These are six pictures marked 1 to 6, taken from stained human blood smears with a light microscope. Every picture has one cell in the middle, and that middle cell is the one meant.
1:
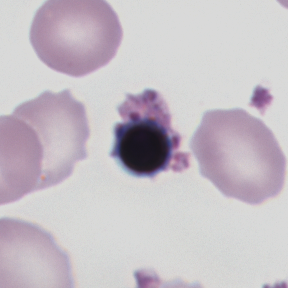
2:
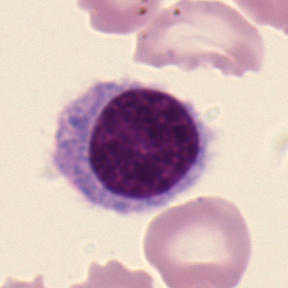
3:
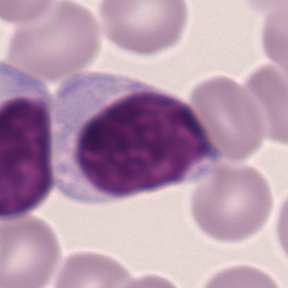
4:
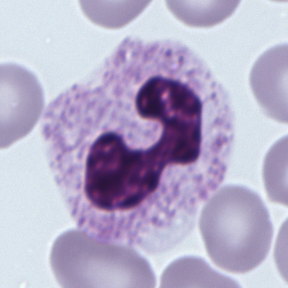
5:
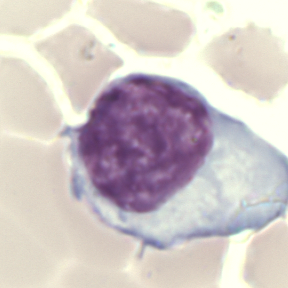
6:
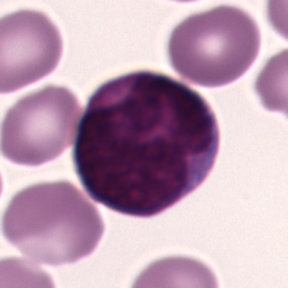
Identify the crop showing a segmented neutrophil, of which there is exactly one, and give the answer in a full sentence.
Crop 4 alone, of all the crops, shows a segmented neutrophil.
